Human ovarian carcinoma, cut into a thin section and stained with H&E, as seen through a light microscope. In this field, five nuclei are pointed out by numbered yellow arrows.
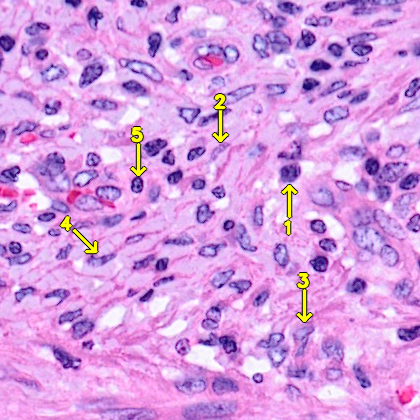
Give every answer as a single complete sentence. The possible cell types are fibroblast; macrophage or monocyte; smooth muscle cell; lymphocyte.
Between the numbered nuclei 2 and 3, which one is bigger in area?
Number 3 is larger; its area is about 2.5 times that of number 2.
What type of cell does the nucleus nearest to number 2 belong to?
Number 2 lies closest to the nucleus of a lymphocyte.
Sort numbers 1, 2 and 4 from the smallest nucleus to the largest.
Smallest first, the nuclei run 2, 4, 1.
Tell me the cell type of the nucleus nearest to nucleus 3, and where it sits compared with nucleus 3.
The nearest one is a fibroblast, found below nucleus 3.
